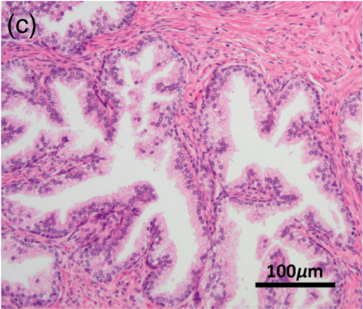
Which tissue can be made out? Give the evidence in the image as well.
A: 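Glands with open lumens and branching papillary infoldings. The glands are lined by a layer of pale columnar cells with a flat outer cell layer. The glands lie in pink fibromuscular stroma.
Hence: prostate glands.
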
